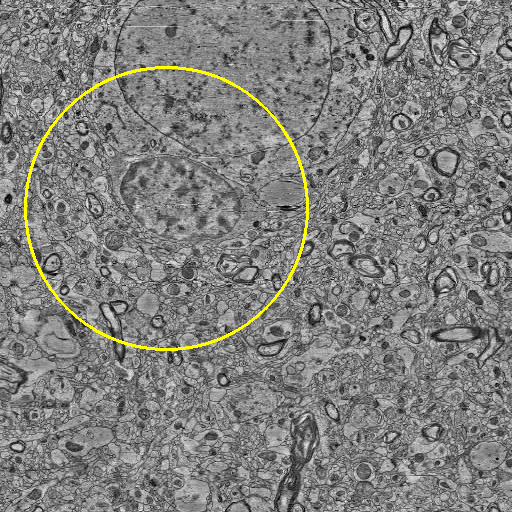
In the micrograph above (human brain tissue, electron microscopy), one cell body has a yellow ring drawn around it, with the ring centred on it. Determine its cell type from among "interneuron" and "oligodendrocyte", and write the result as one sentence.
The cell whose body is ringed is an oligodendrocyte.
